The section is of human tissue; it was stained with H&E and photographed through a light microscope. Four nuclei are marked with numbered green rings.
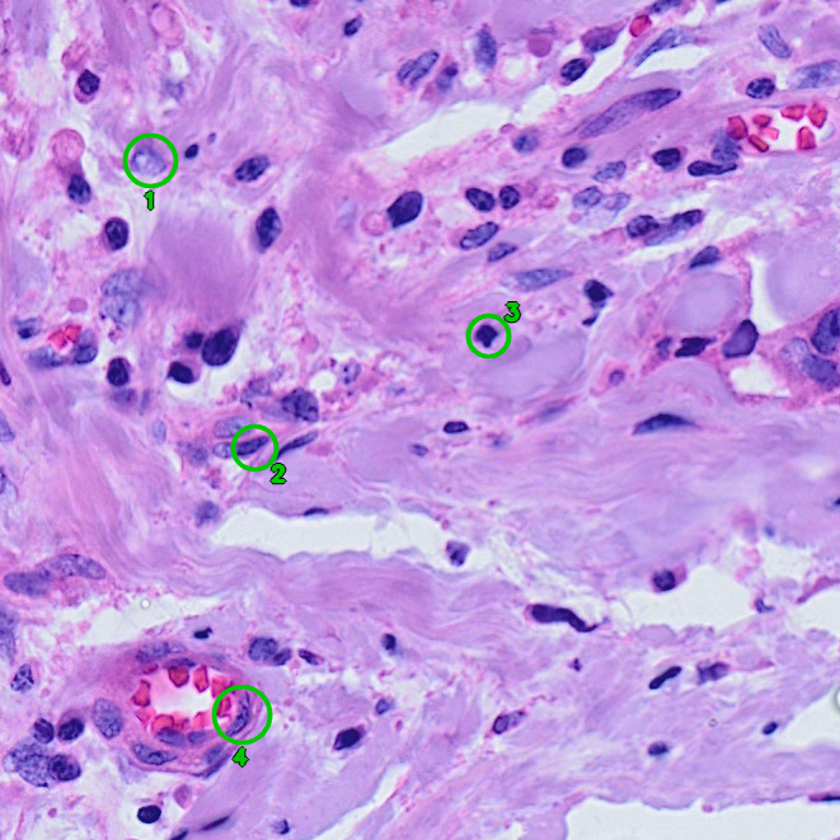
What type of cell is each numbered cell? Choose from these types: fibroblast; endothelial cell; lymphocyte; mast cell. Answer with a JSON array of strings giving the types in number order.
["fibroblast", "endothelial cell", "lymphocyte", "endothelial cell"]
